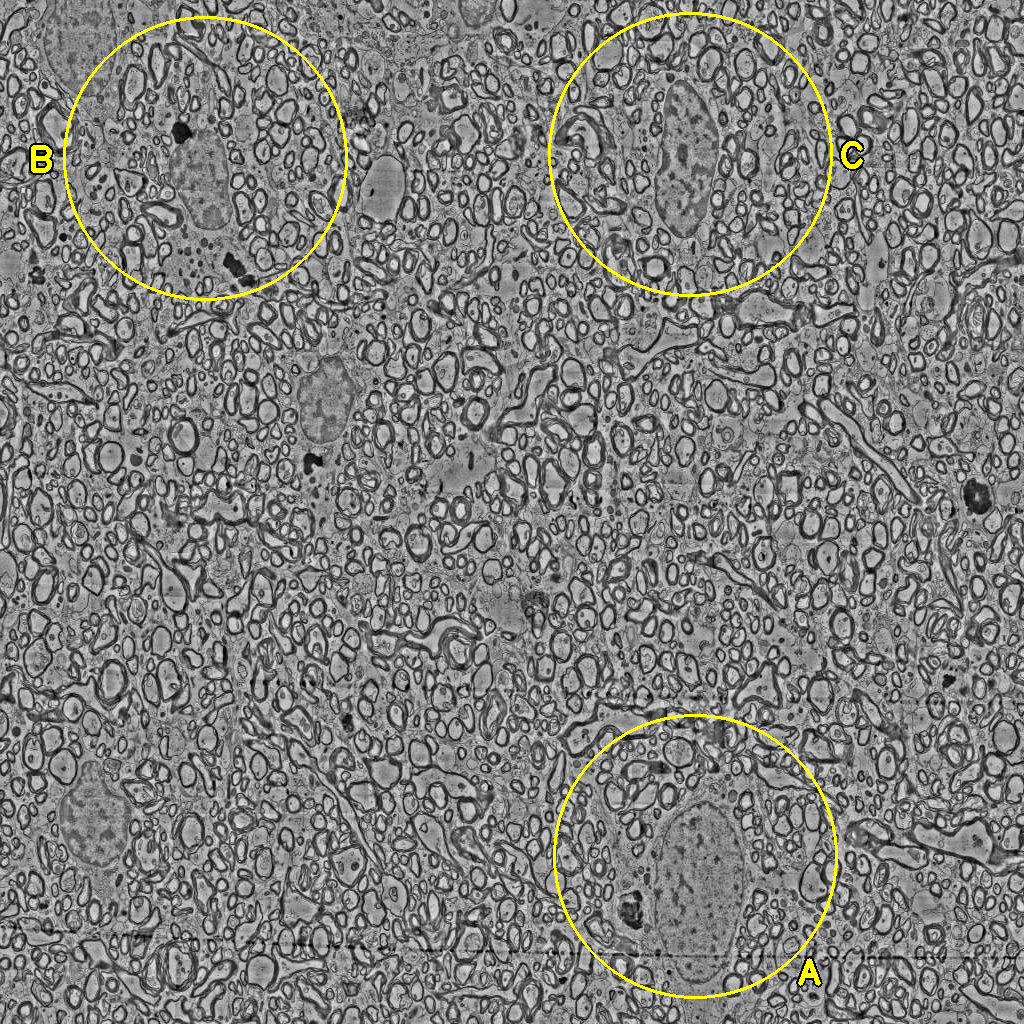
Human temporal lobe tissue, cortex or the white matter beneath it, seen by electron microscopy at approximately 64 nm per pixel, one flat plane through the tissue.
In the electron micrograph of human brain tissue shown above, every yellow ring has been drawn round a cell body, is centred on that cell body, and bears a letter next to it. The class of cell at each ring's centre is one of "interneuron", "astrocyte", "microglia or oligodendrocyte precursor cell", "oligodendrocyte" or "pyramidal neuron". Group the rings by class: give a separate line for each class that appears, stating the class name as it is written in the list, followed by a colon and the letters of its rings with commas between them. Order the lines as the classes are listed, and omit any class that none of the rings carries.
astrocyte: A
microglia or oligodendrocyte precursor cell: C
oligodendrocyte: B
